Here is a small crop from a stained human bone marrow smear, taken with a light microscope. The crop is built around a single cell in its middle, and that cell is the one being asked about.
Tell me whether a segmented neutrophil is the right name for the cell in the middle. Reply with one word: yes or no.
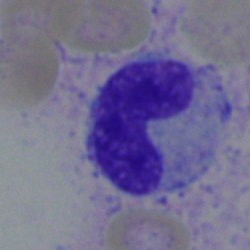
no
